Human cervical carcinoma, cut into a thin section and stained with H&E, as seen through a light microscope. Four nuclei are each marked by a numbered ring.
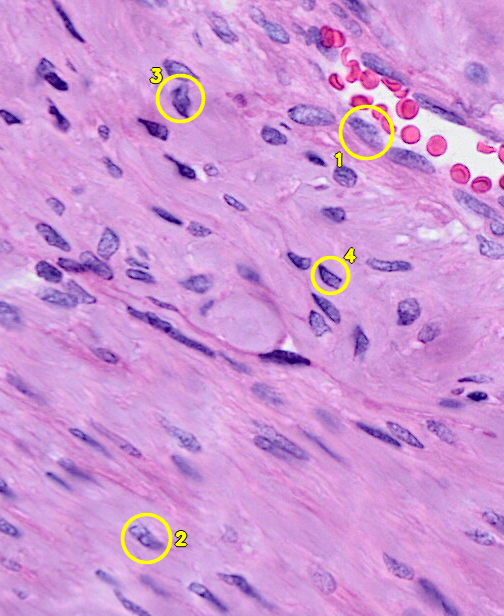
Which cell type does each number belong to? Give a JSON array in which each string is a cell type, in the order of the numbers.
["endothelial cell", "fibroblast", "fibroblast", "fibroblast"]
